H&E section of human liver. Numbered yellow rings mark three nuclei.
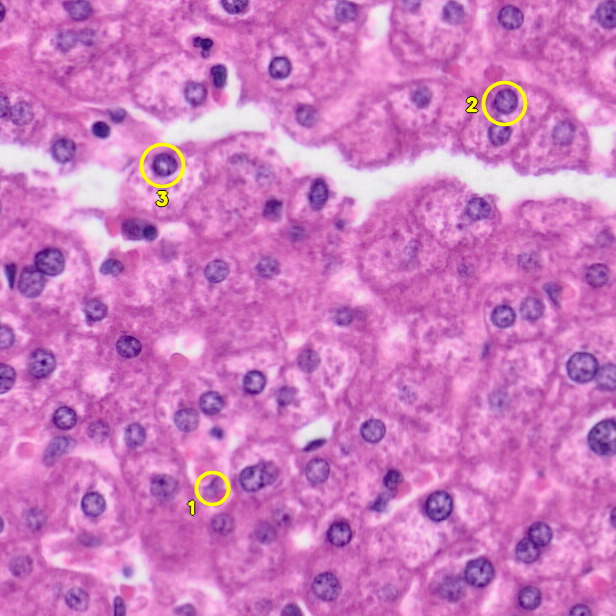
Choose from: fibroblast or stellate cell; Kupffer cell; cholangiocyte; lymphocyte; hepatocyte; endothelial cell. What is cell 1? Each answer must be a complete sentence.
The cell to which the number 1 is assigned is a Kupffer cell.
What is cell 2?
Belonging to a hepatocyte is the nucleus that carries the number 2.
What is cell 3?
Cell 3 is classified as a hepatocyte.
